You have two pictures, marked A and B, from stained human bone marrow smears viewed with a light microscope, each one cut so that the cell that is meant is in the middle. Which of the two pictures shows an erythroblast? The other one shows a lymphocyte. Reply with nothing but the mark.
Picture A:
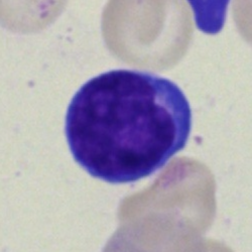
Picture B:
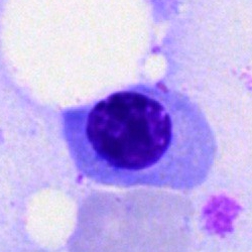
B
